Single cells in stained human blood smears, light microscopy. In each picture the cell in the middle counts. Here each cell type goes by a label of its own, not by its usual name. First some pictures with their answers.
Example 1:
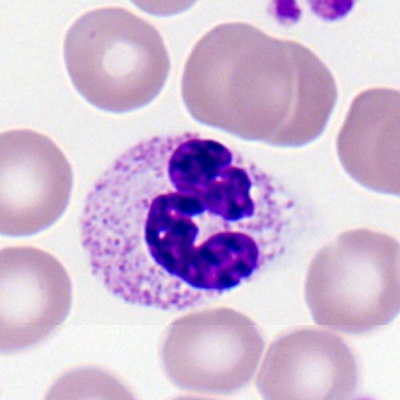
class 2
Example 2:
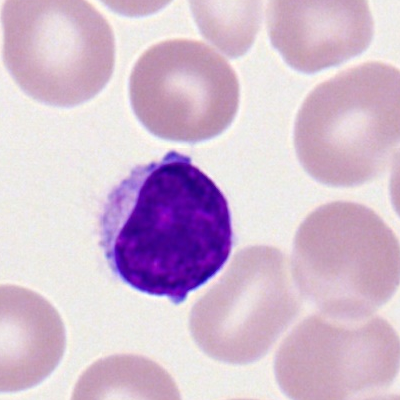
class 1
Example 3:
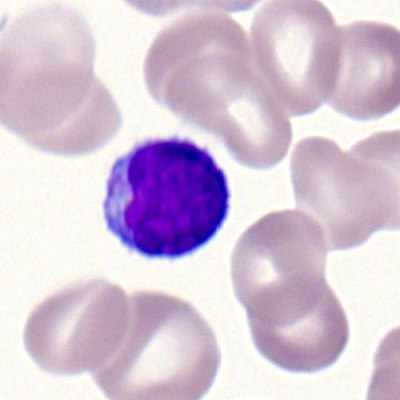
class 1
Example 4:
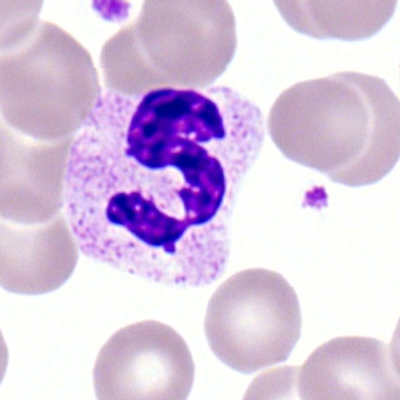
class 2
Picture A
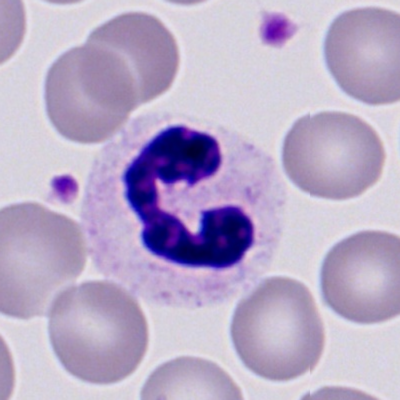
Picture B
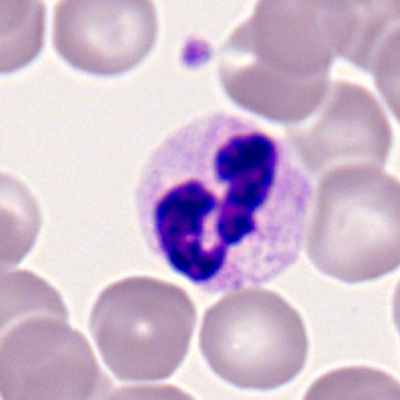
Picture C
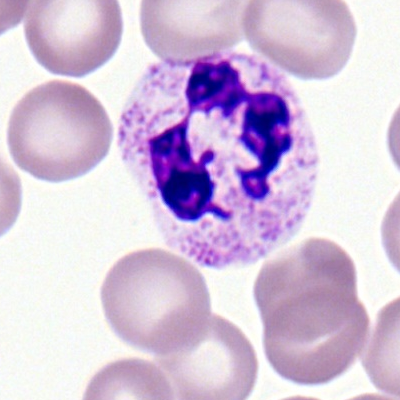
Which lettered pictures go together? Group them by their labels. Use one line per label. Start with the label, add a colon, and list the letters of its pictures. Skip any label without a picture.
class 2: A, B, C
